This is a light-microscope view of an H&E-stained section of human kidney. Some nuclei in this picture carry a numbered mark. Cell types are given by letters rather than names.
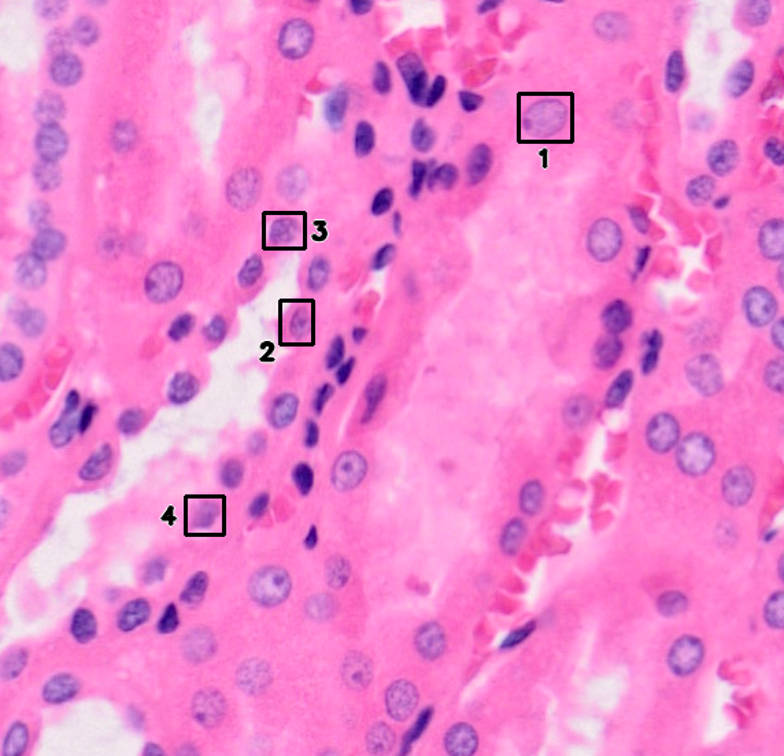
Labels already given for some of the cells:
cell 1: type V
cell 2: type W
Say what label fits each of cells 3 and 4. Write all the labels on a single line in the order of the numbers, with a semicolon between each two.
type W; type W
